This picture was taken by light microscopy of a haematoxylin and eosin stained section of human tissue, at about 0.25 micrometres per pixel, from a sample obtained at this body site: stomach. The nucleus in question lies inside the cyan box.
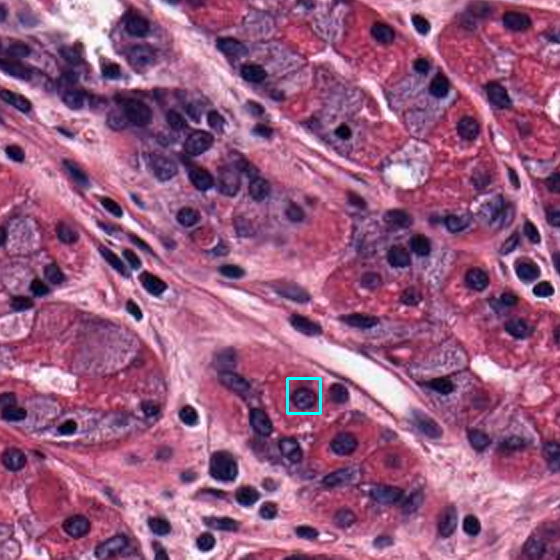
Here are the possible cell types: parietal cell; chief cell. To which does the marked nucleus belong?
parietal cell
